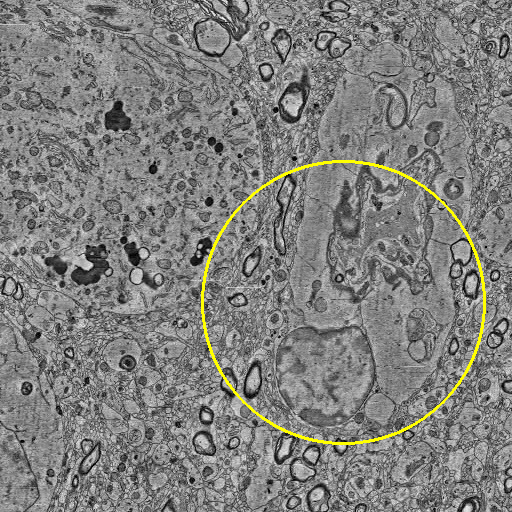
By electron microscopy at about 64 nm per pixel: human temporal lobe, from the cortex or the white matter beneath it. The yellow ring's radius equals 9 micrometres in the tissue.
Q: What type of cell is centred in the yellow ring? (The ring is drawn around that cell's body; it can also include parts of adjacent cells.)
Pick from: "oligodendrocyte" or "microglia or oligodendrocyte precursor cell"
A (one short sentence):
The yellow ring is centred on a microglial cell or oligodendrocyte precursor cell.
